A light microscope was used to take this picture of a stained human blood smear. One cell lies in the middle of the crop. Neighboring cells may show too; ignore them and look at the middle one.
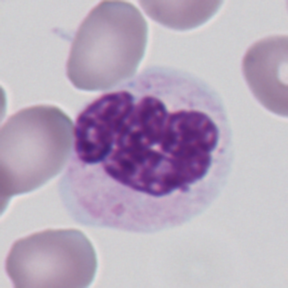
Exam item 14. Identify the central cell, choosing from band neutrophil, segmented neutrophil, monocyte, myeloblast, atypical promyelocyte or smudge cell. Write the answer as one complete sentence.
Where the crop is centred, there is a segmented neutrophil.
